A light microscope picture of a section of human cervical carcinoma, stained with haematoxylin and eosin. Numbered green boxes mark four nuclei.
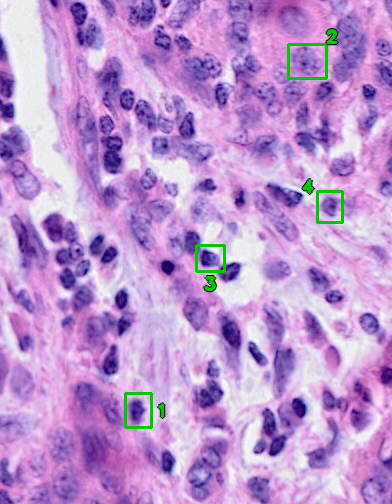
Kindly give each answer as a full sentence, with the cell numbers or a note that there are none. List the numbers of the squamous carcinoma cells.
Of the numbered cells, only cell 2 is a squamous carcinoma cell.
